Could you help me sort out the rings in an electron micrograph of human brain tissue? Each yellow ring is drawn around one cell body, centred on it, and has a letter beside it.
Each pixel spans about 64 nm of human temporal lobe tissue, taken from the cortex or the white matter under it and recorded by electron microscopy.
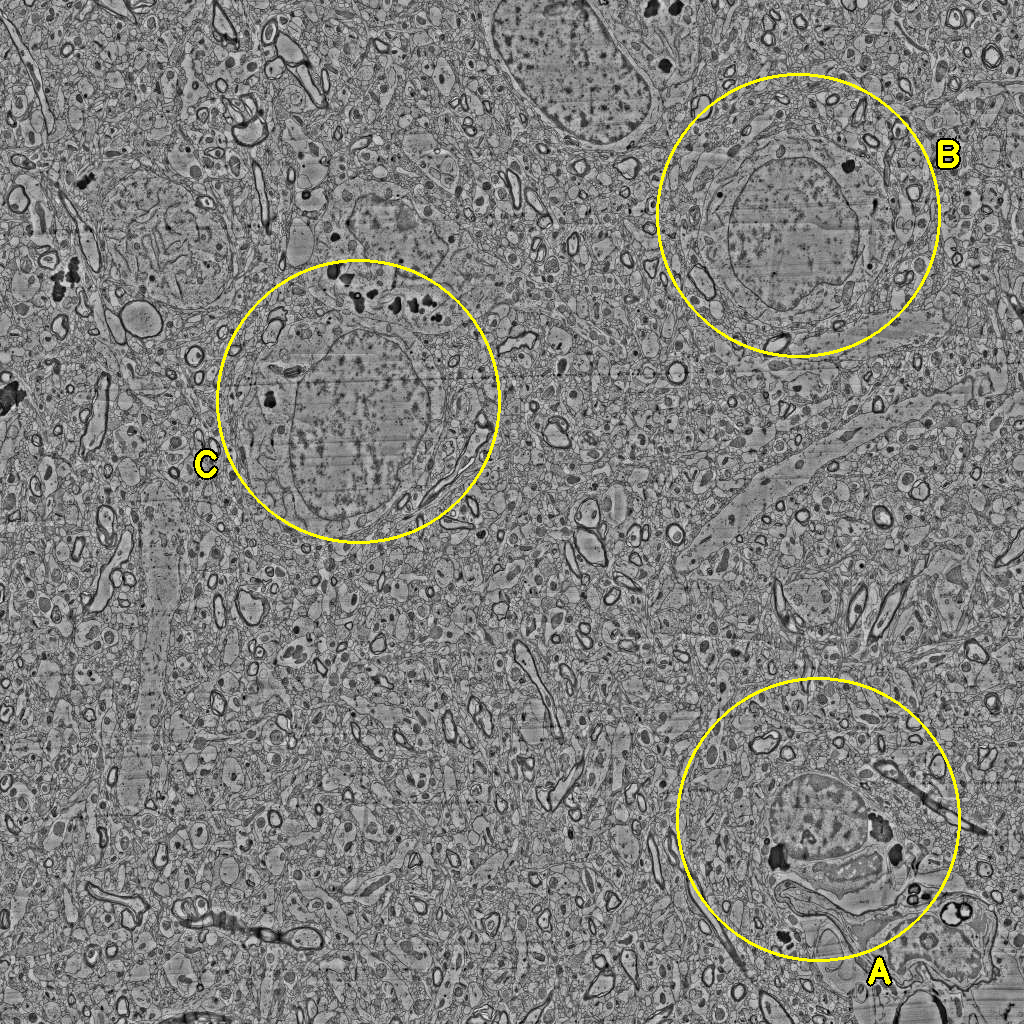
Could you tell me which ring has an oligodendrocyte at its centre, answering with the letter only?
A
